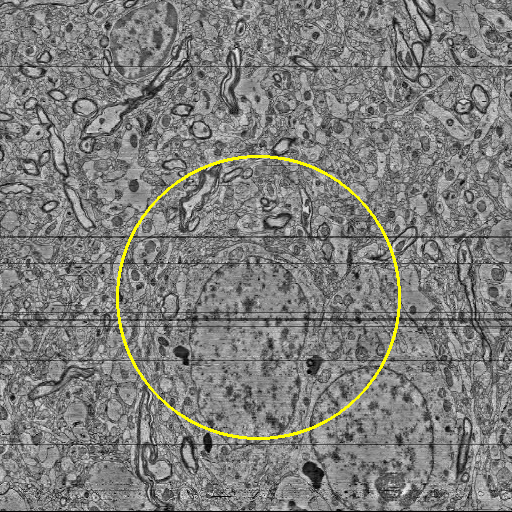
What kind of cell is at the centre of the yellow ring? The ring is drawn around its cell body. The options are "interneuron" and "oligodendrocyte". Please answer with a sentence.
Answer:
The yellow ring marks the cell body of an interneuron.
